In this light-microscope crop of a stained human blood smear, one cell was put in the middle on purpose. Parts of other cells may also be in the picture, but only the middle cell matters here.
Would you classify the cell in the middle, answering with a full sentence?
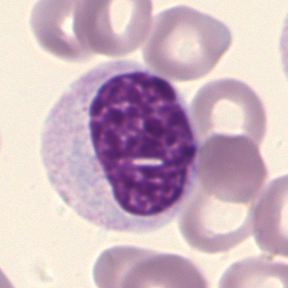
The cell under consideration, at the middle of the crop, is a metamyelocyte.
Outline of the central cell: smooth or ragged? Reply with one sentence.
Expected answer: a smooth cell outline without projections of any sort.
